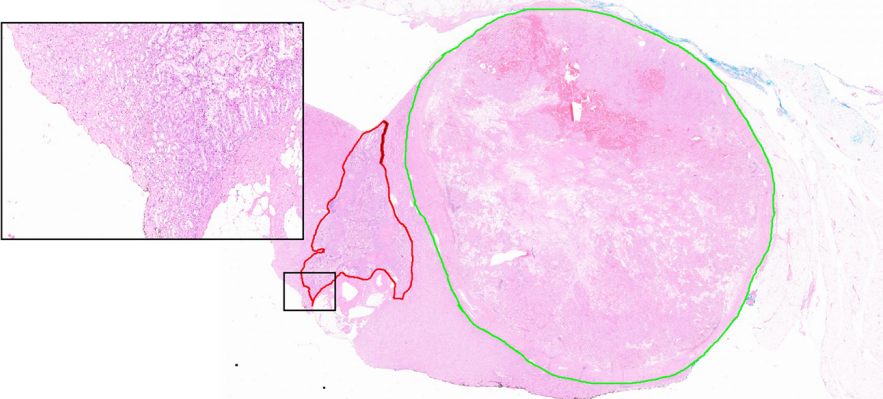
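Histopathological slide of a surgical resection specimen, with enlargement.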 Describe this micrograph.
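A low-magnification whole-mount section shows a large, round, sharply delimited tumour nodule with a pale, mottled interior and patches of red hemorrhage. Beside it lies a smaller, irregularly outlined tumour, and the enlarged inset shows that tumour's tissue forming finger-like fronds and branching projections.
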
